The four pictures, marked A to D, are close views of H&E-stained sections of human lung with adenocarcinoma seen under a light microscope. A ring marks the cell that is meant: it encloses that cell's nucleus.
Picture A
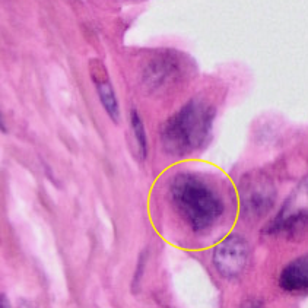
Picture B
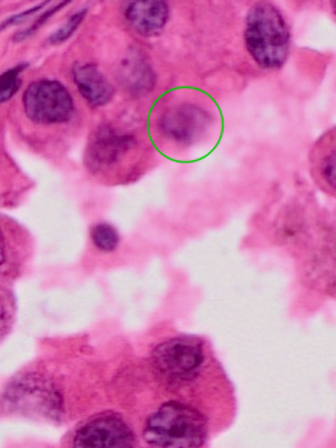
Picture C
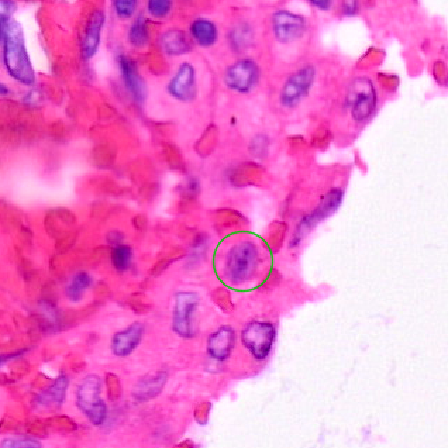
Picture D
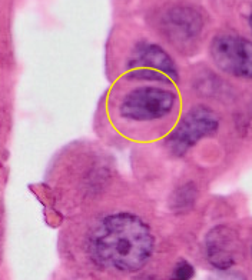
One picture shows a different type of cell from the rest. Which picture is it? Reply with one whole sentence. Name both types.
Picture C differs, because its cell is a “macrophage or monocyte” and the rest are carcinoma cells.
